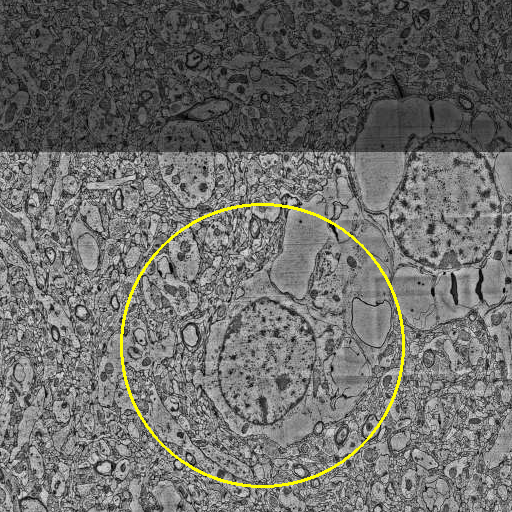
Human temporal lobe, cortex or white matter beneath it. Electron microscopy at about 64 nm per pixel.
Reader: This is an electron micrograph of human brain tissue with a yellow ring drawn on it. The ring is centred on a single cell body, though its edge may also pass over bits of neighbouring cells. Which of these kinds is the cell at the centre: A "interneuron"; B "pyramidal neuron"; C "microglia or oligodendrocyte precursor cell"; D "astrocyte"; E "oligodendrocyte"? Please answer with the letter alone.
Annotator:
D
